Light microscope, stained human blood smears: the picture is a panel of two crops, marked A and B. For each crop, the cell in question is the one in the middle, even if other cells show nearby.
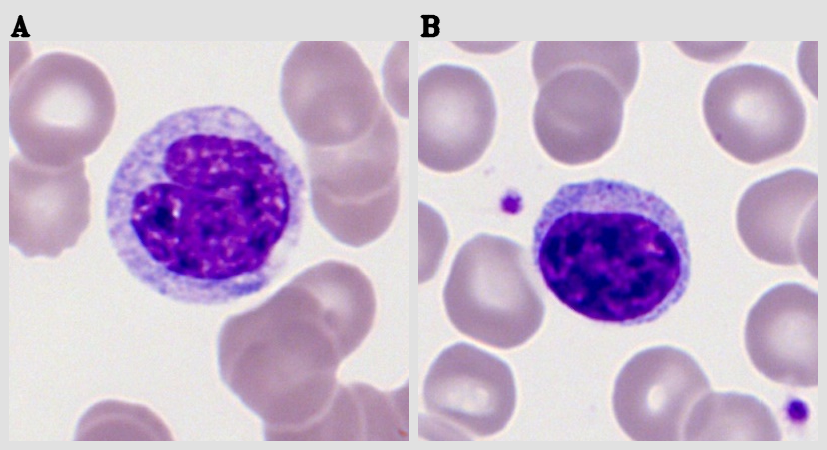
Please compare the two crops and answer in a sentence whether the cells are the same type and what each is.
No, crop A contains a monocyte, and crop B contains a lymphocyte.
